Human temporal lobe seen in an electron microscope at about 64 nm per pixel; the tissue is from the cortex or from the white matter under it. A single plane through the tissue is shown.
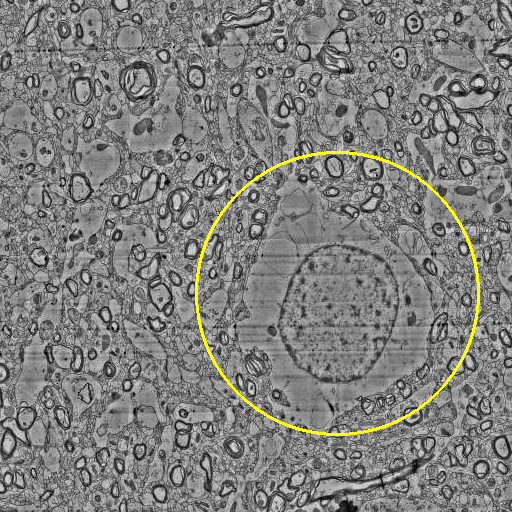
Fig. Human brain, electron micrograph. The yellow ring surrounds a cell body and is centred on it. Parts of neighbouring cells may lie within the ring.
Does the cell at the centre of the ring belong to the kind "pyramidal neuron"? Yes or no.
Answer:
no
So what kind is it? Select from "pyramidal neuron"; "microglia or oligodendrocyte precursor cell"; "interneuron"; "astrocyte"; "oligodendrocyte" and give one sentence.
So the cell at the centre is an astrocyte.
